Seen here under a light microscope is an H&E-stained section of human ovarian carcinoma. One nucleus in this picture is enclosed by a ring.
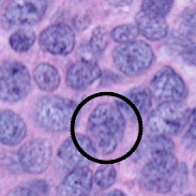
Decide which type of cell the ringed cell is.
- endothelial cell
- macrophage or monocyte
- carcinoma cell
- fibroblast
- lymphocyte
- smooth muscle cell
carcinoma cell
